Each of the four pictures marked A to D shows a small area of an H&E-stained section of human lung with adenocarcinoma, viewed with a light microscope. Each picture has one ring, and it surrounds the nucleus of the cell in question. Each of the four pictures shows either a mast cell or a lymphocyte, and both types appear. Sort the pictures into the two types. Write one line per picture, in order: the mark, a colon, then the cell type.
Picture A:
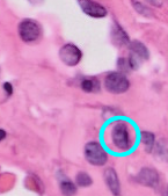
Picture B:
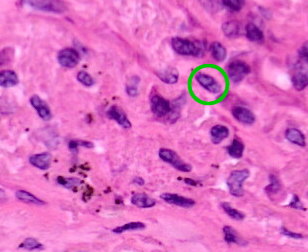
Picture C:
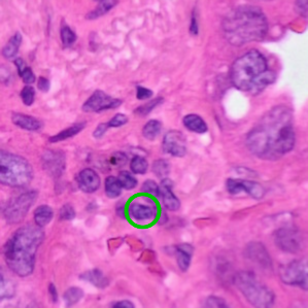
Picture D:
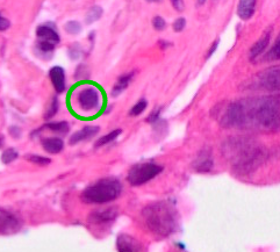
A: lymphocyte
B: mast cell
C: lymphocyte
D: lymphocyte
